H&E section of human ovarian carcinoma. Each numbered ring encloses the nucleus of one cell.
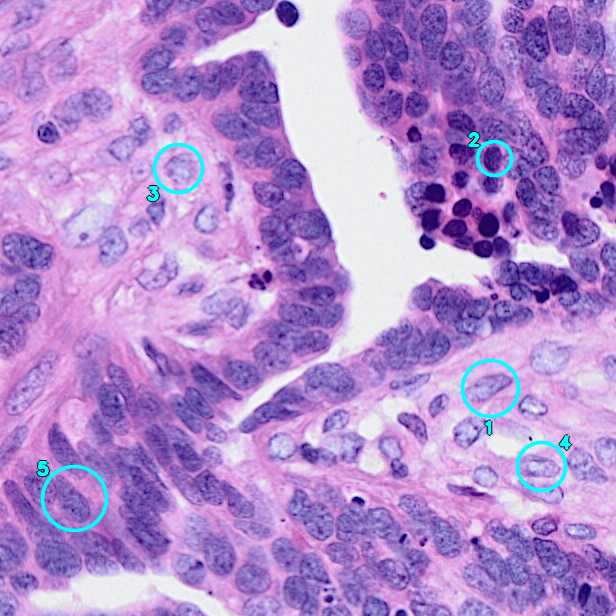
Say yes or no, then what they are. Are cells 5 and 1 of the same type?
No, cell 1 is a fibroblast, and cell 5 is a carcinoma cell.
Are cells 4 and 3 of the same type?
Yes, in the case of cells 4 and 3, both are fibroblasts.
